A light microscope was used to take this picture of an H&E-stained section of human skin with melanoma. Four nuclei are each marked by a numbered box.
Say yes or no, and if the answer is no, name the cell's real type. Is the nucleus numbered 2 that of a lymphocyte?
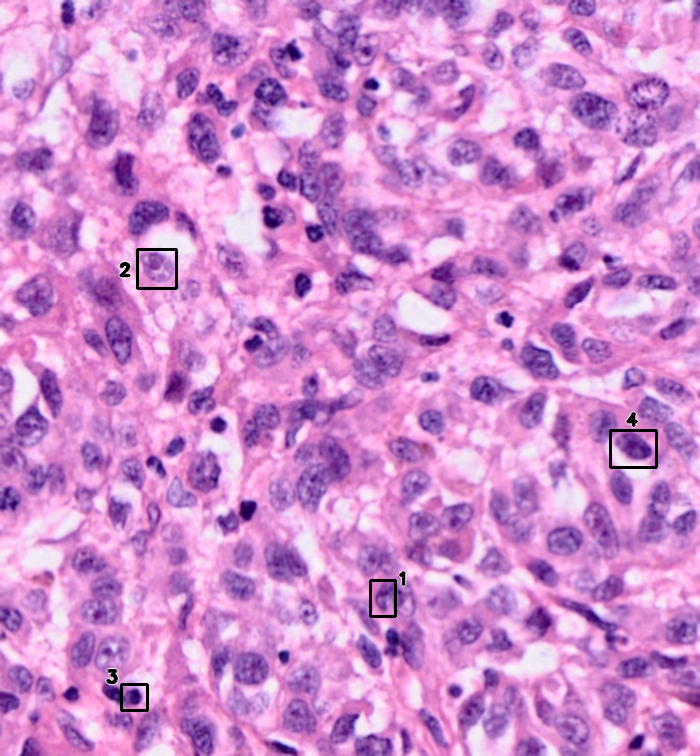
No, it is a melanoma cell.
